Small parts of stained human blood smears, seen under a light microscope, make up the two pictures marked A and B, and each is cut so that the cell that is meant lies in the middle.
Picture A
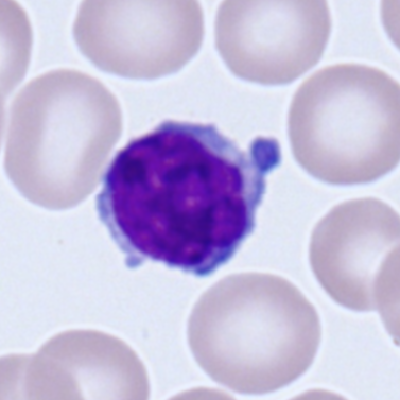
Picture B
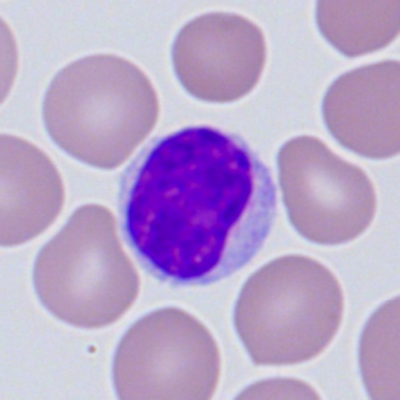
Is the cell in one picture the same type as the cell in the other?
yes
